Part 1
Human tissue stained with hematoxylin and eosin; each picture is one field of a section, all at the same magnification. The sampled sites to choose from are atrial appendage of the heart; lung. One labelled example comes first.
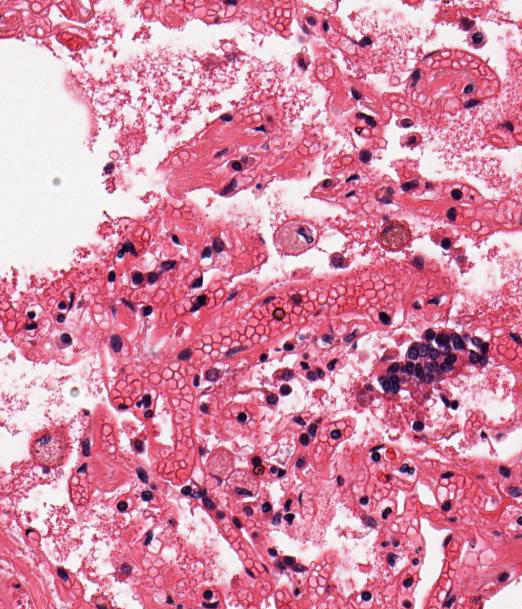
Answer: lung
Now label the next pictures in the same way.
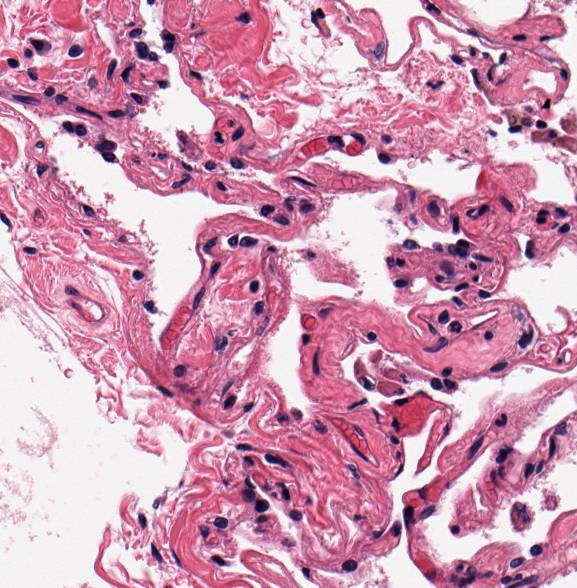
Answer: lung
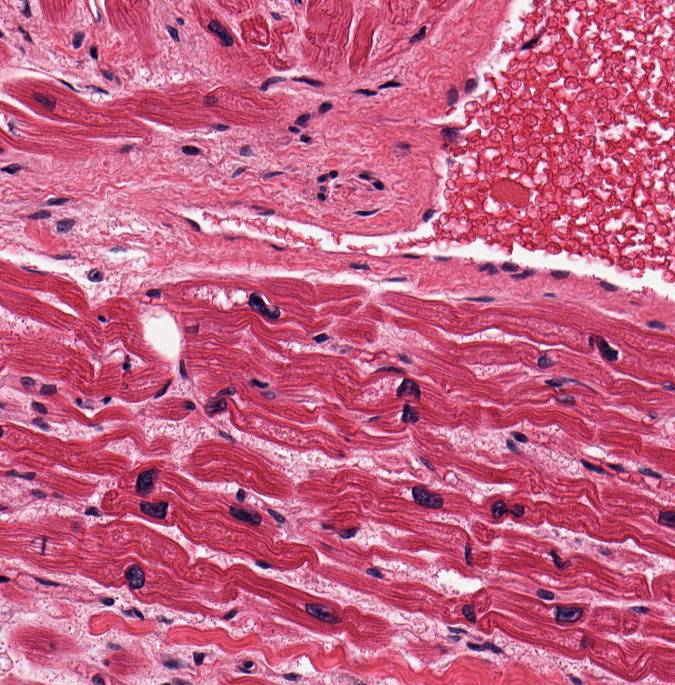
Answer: atrial appendage of the heart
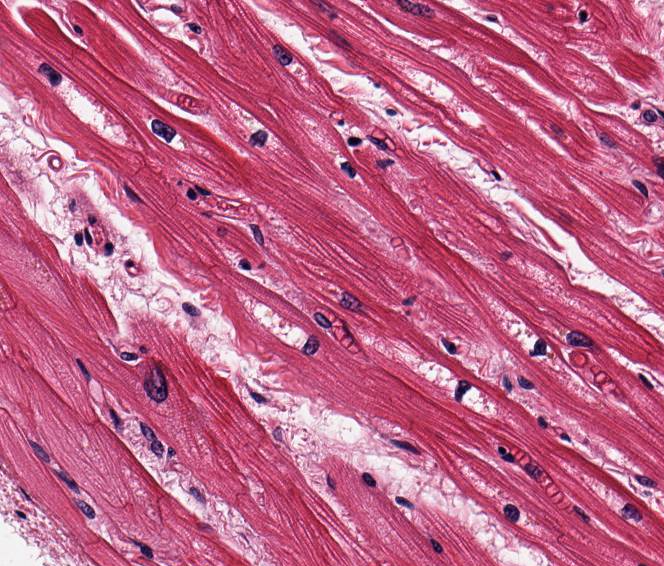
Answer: atrial appendage of the heart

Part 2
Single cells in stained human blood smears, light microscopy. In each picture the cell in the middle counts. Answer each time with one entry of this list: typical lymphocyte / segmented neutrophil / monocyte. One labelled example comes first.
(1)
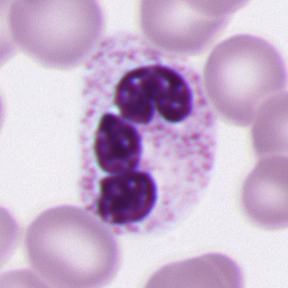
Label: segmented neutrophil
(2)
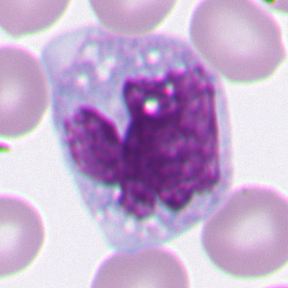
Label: monocyte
